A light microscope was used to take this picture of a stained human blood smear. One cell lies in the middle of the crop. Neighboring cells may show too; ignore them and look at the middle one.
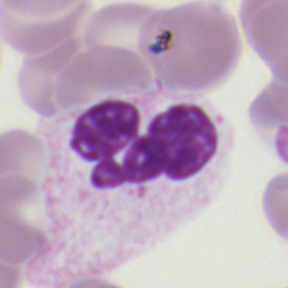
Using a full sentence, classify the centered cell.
By type, the central cell of the crop is a neutrophil.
